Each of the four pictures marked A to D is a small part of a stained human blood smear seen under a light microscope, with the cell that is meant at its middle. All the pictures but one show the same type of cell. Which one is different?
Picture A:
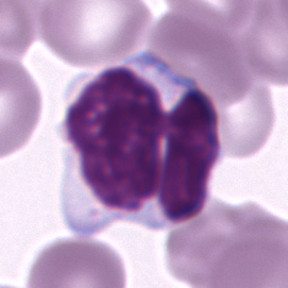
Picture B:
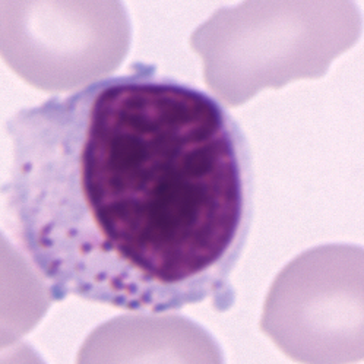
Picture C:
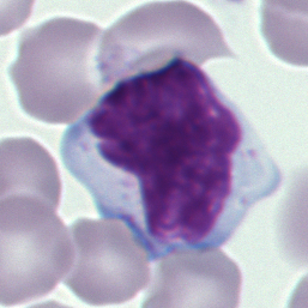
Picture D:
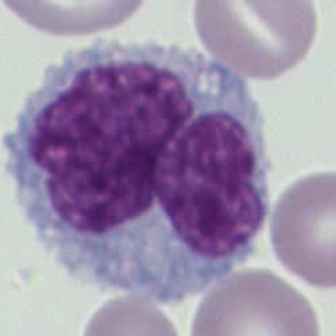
D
